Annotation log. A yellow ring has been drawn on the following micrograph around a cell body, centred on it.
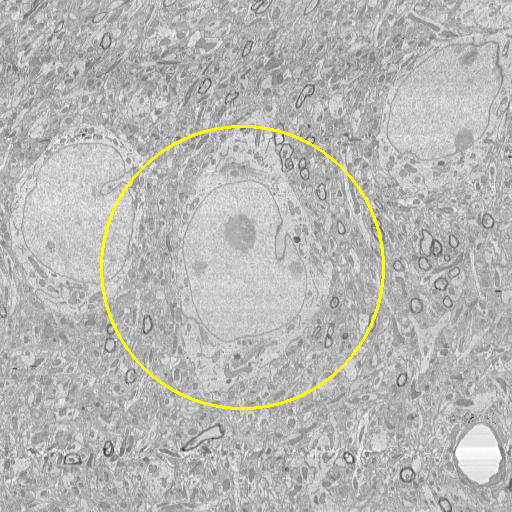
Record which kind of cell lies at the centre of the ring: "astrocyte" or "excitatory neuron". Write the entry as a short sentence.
The cell the ring is centred on is an excitatory neuron.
